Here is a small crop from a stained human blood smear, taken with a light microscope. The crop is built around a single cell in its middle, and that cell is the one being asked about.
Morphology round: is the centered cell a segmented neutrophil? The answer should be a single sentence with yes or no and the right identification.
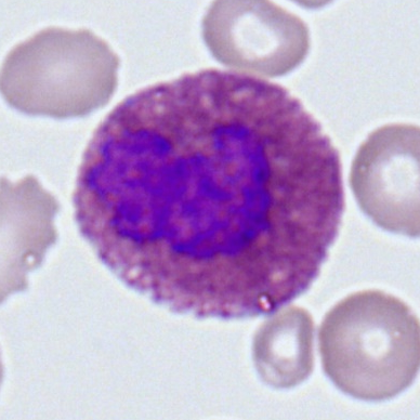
No, the centre of the crop is taken up by an eosinophil, not a segmented neutrophil.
